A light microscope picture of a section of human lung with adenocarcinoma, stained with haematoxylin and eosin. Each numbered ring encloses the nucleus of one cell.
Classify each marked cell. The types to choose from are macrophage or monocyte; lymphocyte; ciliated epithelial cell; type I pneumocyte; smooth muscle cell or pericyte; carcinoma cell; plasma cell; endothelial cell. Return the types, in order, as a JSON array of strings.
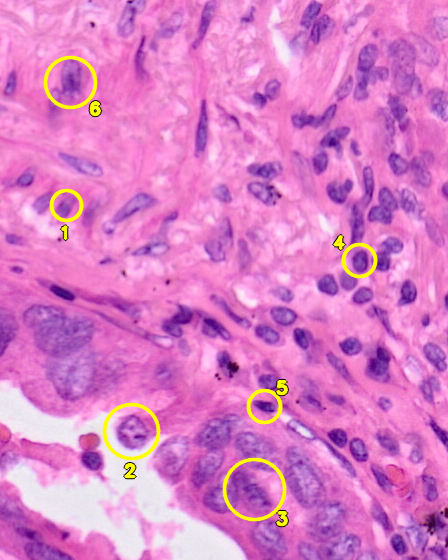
["smooth muscle cell or pericyte", "carcinoma cell", "carcinoma cell", "lymphocyte", "lymphocyte", "smooth muscle cell or pericyte"]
